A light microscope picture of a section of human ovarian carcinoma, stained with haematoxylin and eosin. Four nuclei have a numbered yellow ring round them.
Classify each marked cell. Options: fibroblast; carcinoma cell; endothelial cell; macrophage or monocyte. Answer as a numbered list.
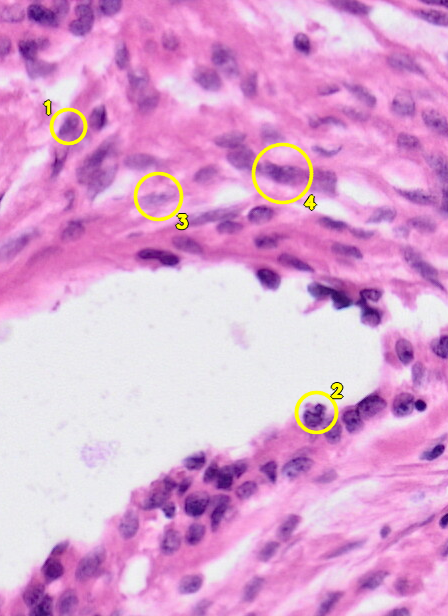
1. fibroblast
2. macrophage or monocyte
3. fibroblast
4. fibroblast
